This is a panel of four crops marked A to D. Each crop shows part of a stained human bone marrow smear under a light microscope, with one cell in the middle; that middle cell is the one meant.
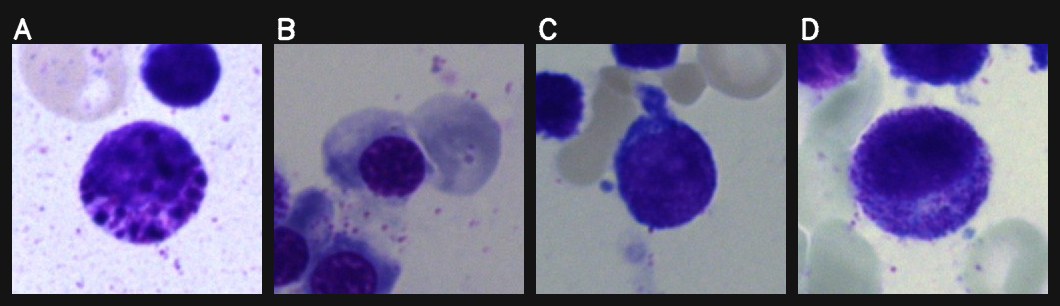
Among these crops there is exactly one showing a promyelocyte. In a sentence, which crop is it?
Among all the crops given here, the one with a promyelocyte is crop D.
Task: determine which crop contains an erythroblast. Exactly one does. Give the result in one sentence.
The cell at the center of crop B is the one that is an erythroblast.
